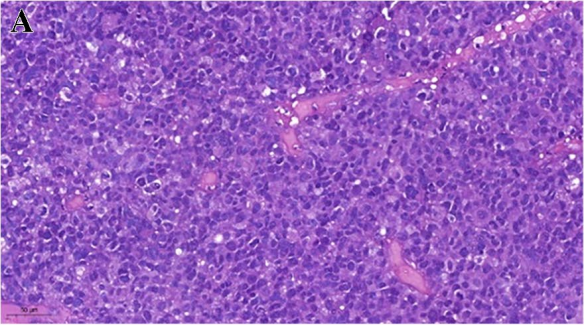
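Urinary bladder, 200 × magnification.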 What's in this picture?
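This is a tumour made of diffuse sheets of small, closely packed cells. The cytoplasm is scant, so the field looks predominantly purple. Thin pink fibrovascular strands and small vessels run through the sheets. Scattered single cells with clear halos suggest individual cell death.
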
